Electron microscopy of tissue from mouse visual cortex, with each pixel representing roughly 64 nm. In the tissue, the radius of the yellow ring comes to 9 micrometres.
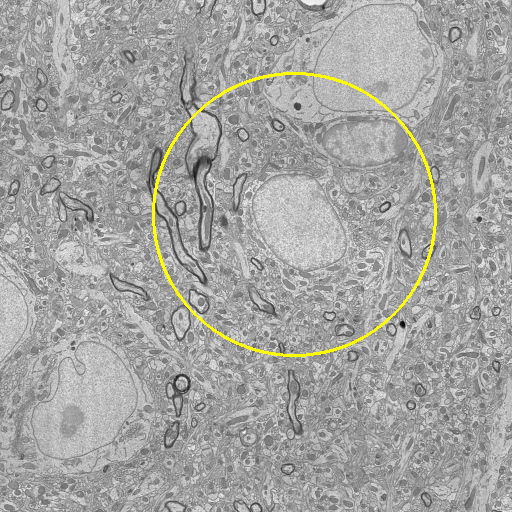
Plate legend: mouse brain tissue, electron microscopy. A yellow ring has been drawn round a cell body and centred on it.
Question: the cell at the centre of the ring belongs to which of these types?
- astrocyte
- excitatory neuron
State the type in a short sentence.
The cell in the middle of the ring is an astrocyte.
